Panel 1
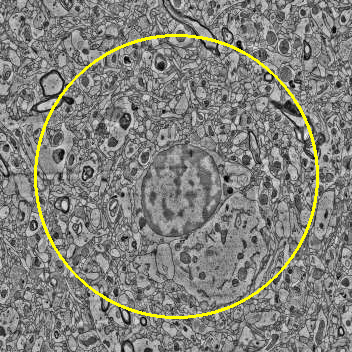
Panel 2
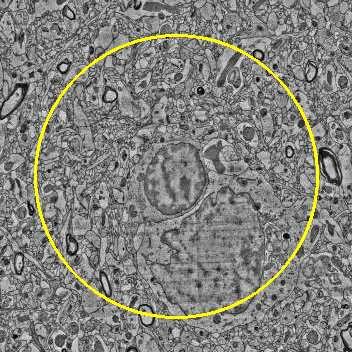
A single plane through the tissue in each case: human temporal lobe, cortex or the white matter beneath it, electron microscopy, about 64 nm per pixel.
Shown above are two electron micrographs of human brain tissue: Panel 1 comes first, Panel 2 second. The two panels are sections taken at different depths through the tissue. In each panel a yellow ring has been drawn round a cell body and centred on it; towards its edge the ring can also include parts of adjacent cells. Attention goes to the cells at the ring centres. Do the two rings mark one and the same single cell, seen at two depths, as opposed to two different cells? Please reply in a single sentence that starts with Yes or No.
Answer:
Yes, the marked cell is the same in both rings.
